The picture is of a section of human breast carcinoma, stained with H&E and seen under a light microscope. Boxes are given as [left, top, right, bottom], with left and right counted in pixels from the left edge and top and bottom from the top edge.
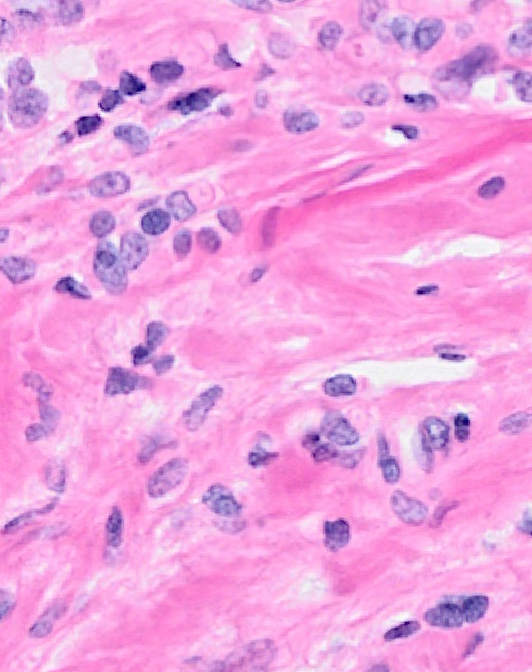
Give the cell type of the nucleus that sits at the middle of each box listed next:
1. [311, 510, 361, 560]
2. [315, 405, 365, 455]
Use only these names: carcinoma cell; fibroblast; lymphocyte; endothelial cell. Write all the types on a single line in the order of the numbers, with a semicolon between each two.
lymphocyte; carcinoma cell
